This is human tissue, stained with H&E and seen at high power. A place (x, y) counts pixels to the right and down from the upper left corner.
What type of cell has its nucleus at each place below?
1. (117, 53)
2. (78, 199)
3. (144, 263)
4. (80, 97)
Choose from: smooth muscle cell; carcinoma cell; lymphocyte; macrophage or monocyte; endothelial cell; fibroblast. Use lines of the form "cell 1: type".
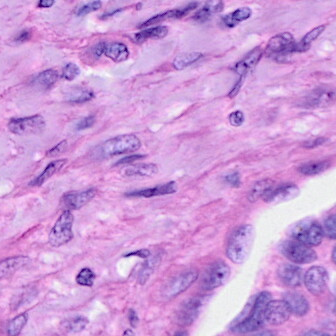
cell 1: endothelial cell
cell 2: fibroblast
cell 3: fibroblast
cell 4: fibroblast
